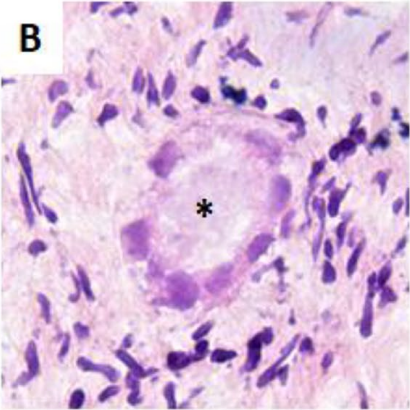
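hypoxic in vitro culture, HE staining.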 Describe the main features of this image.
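This is a small follicle lying in the ovarian stroma. At its centre is the oocyte, a large round cell with pale, faintly pink cytoplasm. Beyond this ring the stroma is made of many elongated, spindle-shaped cells with dark, slender nuclei running in different directions through pale pink fibrous tissue. The contrast between the rounded follicle cells and the thin stromal nuclei marks the follicle's border clearly.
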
